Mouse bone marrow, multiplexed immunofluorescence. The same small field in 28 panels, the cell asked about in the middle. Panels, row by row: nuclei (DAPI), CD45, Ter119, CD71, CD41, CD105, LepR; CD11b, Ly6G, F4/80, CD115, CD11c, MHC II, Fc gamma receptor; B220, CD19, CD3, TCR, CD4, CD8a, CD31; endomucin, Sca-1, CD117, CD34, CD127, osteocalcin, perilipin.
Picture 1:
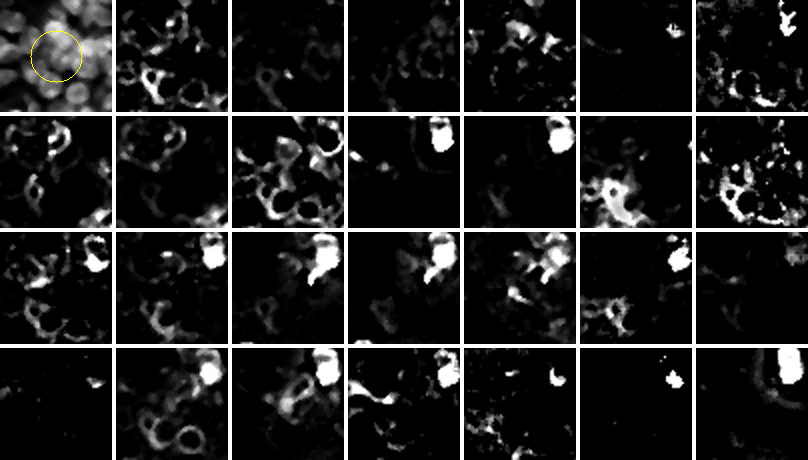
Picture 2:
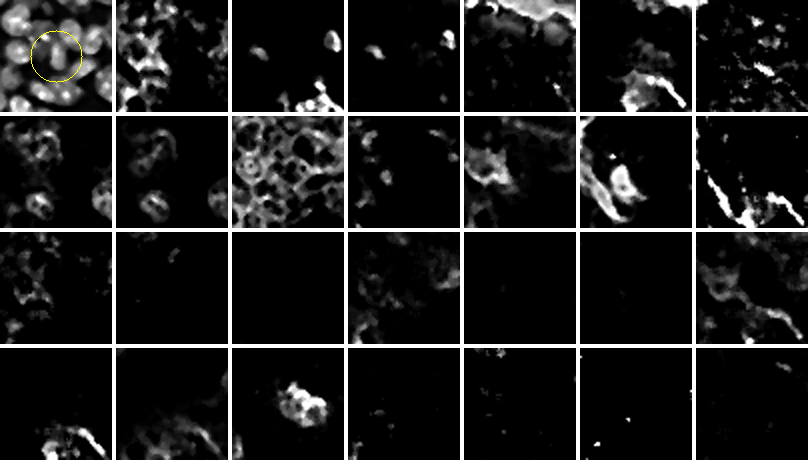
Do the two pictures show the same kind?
No: a granulocyte-monocyte progenitor, then a megakaryocyte-erythroid progenitor.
